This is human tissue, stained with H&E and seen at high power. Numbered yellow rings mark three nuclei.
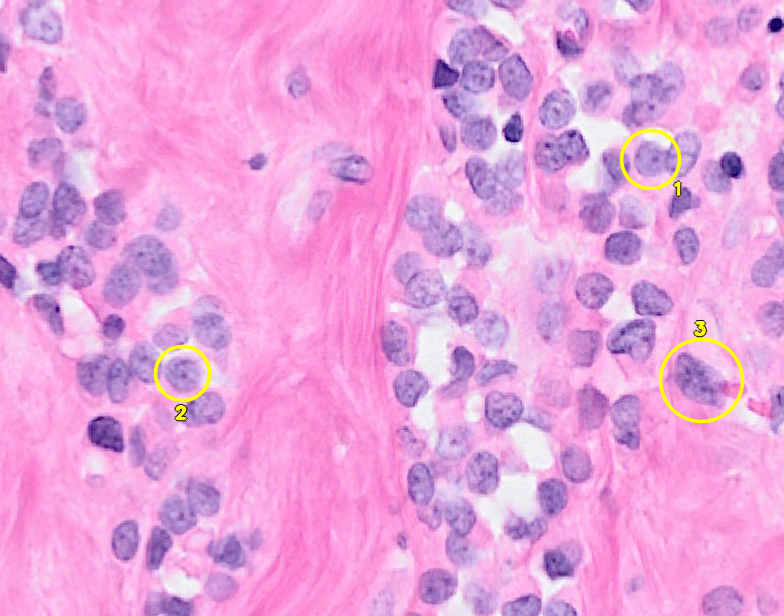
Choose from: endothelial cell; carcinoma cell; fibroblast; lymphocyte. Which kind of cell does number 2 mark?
carcinoma cell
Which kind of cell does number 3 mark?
endothelial cell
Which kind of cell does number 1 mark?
carcinoma cell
